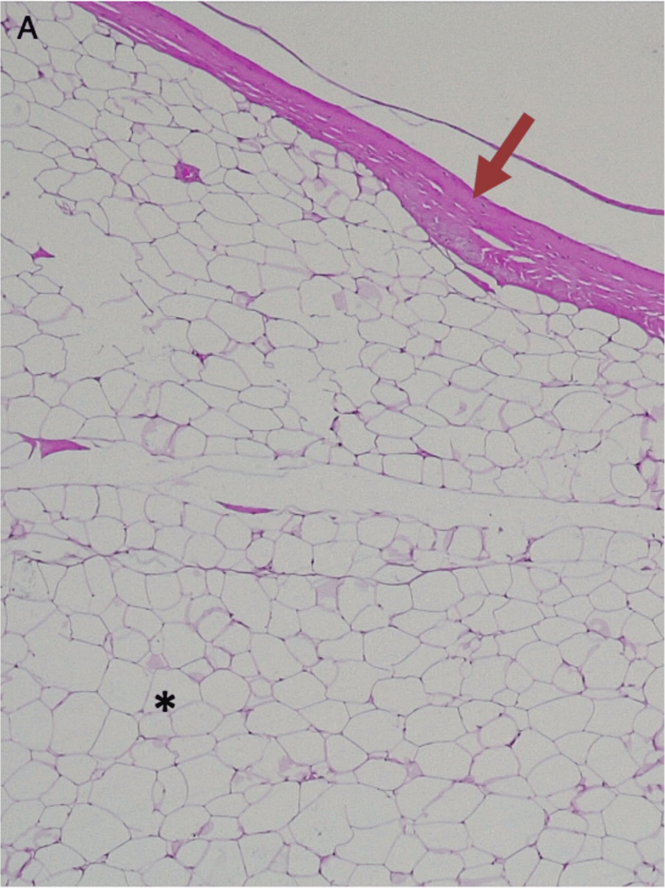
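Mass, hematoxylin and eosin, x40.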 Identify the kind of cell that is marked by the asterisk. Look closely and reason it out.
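Large, empty-looking polygonal cells packed closely together. Each cell is bounded by a thin pink membrane.
Conclusion: mature adipocytes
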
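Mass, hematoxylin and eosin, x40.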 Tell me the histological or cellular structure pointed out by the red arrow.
Thin fibrous layer.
